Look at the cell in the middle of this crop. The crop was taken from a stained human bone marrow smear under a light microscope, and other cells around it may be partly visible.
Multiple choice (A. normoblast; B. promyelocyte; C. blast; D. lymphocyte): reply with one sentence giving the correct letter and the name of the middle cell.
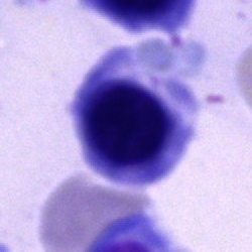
At the centre of the crop lies a normoblast, which makes option A correct.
